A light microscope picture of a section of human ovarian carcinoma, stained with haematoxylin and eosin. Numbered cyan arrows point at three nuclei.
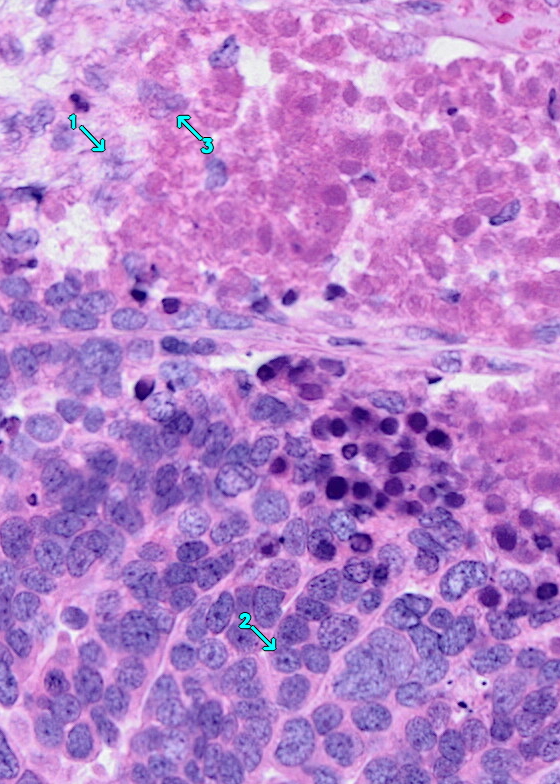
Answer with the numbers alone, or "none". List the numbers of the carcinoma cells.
2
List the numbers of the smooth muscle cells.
none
